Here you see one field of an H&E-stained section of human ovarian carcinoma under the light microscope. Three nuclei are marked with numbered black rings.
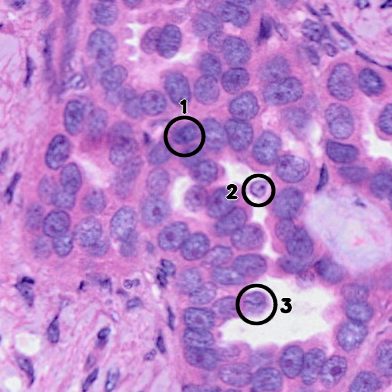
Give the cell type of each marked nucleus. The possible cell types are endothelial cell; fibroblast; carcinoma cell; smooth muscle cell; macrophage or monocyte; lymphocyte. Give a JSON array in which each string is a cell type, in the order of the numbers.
["carcinoma cell", "macrophage or monocyte", "carcinoma cell"]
